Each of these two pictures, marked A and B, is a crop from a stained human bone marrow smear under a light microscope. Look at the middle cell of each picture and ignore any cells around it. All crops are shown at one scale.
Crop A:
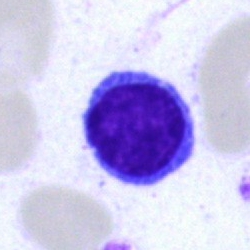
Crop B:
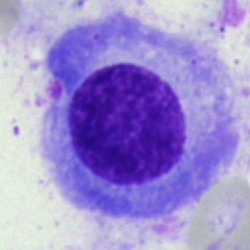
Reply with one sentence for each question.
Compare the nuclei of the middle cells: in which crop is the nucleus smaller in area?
Crop A shows the smaller nucleus, since that in crop B covers about 1.5 times as much area.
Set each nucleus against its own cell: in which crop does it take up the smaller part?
The nucleus fills less of the cell in crop B than in crop A.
